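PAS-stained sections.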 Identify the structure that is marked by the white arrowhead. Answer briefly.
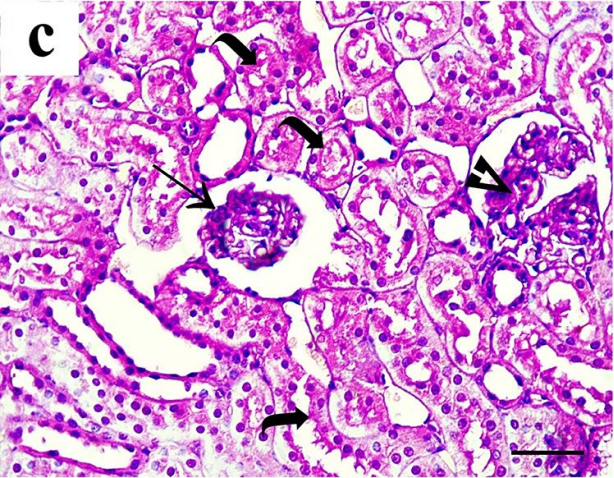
glomerular capillaries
